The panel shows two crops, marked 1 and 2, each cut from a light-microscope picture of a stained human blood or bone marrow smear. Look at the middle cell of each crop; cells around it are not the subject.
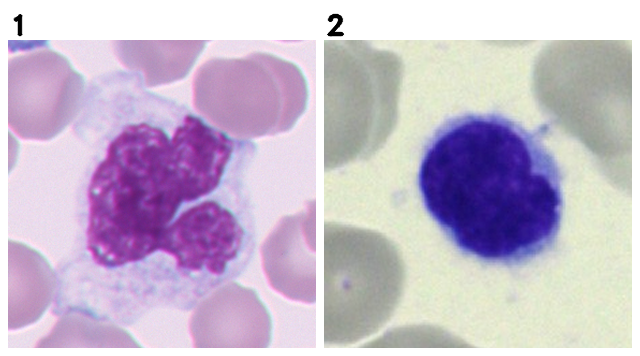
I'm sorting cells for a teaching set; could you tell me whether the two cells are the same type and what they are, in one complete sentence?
No: a monocyte sits in crop 1, and a hairy cell sits in crop 2.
